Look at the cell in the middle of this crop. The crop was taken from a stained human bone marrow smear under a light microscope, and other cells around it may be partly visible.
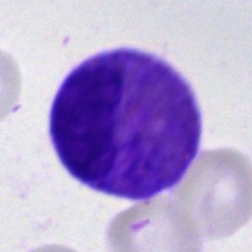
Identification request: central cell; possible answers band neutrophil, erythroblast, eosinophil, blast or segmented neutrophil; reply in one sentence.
The centrally placed cell is classified as an eosinophil.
